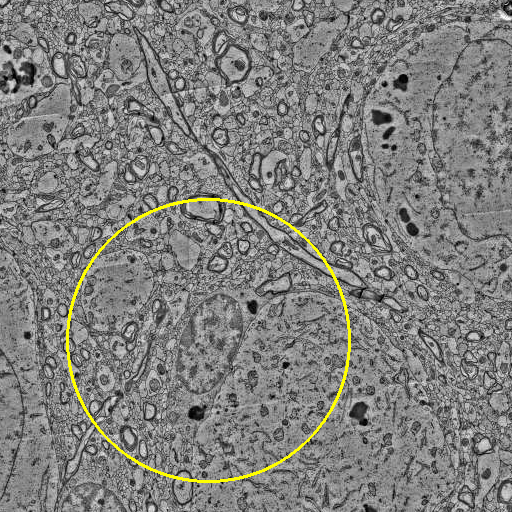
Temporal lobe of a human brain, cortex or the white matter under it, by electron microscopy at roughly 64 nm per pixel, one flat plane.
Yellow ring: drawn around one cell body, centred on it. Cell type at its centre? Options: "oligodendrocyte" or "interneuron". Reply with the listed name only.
oligodendrocyte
